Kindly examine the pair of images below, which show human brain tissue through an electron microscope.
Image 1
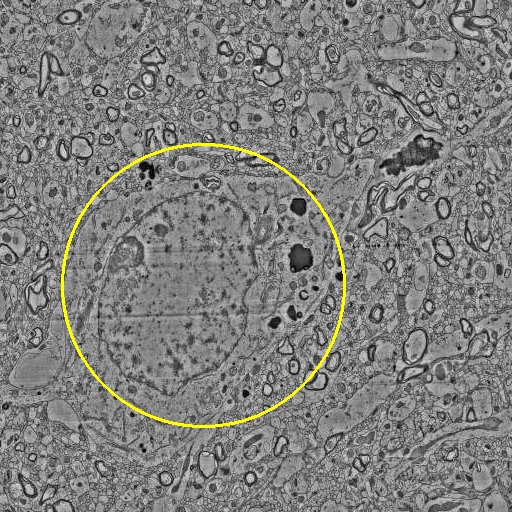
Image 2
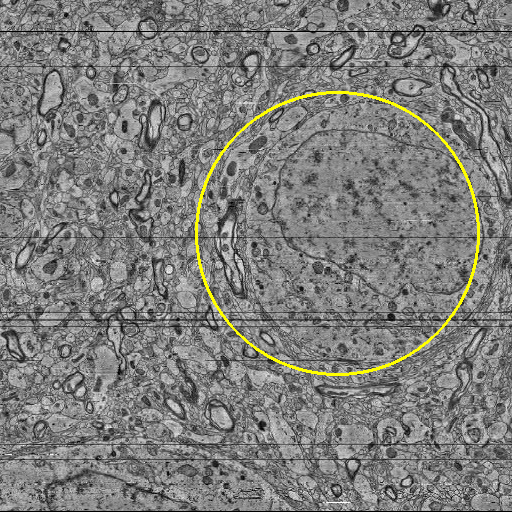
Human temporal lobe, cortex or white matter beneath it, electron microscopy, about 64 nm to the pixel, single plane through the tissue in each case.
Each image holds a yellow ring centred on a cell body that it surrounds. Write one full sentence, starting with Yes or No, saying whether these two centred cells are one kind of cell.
No, the cells at the centres of the yellow rings belong to two kinds of cell.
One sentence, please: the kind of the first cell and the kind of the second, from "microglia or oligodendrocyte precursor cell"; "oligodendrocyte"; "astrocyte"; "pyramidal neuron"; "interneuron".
The ring in the first picture surrounds an interneuron, and the ring in the second surrounds a pyramidal neuron.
